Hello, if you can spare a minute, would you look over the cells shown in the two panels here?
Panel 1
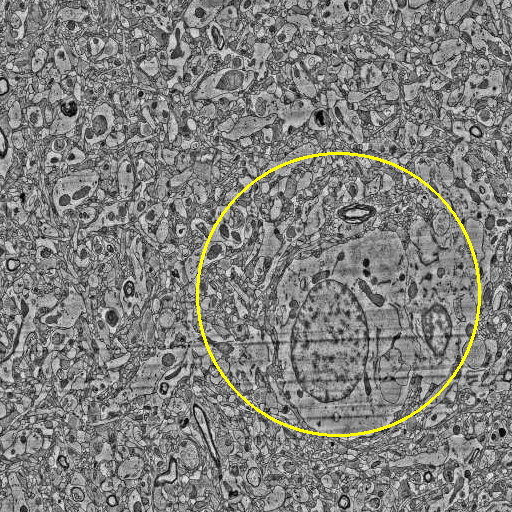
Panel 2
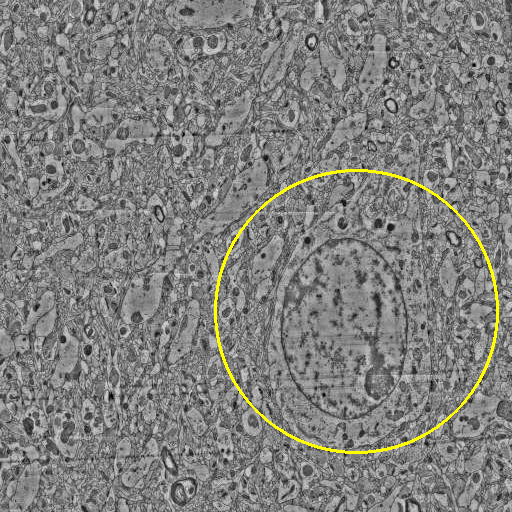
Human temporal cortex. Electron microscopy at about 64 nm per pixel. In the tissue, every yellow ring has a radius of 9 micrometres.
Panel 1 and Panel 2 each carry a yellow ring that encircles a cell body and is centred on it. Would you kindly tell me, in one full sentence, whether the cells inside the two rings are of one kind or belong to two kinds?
The cells at the centres of the rings in Panel 1 and Panel 2 belong to two kinds.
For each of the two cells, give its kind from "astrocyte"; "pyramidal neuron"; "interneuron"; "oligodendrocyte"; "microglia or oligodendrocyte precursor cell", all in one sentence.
The first picture has an astrocyte in its ring, the second has a pyramidal neuron.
